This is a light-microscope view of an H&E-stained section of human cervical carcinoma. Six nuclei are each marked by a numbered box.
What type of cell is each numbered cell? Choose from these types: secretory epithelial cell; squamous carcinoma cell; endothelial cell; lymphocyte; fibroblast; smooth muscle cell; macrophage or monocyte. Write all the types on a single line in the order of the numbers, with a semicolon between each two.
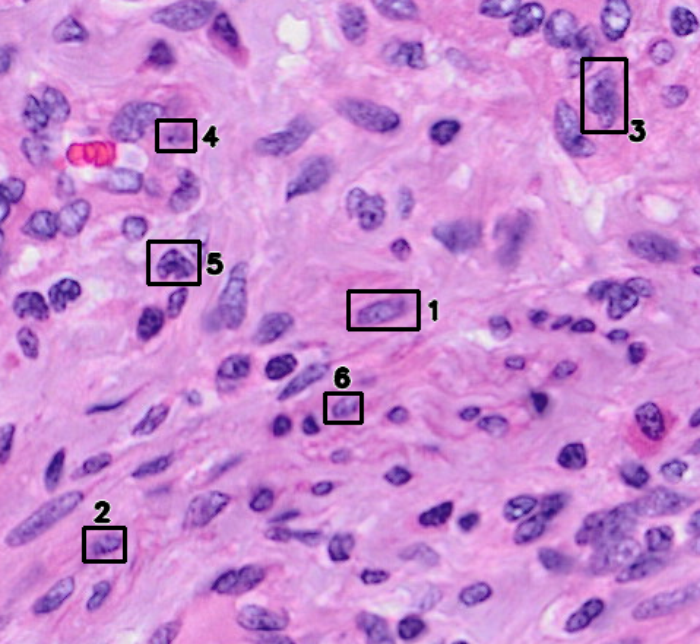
smooth muscle cell; smooth muscle cell; endothelial cell; endothelial cell; lymphocyte; smooth muscle cell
